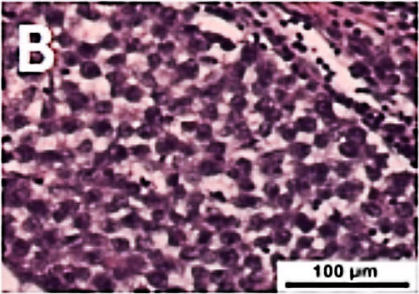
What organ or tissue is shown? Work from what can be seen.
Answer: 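Seminoma. Sheets of large round to polygonal cells with large round nuclei.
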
